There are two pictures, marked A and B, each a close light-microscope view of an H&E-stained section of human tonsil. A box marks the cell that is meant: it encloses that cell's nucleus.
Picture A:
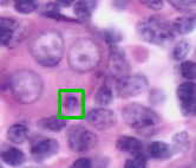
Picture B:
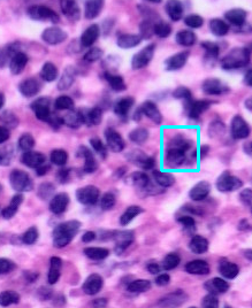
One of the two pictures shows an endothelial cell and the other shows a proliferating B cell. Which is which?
A: endothelial cell
B: proliferating B cell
